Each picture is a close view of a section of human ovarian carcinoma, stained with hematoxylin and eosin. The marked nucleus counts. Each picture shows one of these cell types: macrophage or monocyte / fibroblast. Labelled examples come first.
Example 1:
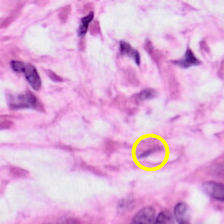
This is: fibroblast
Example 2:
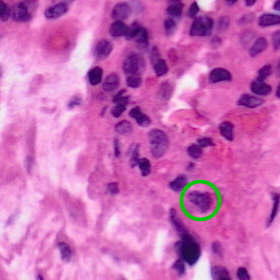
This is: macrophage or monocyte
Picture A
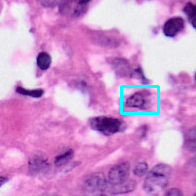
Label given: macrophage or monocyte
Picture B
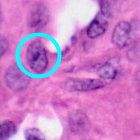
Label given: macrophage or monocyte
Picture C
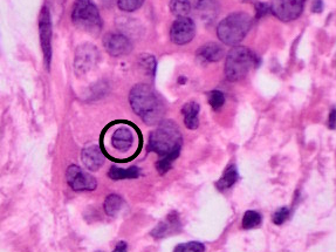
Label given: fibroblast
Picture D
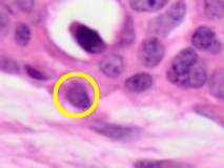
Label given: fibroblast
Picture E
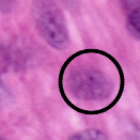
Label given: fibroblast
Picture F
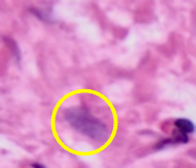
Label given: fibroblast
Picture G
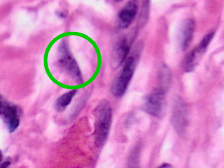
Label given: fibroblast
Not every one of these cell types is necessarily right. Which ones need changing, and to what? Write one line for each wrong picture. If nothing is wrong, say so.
Wrong: C (fibroblast); correct: macrophage or monocyte
Wrong: D (fibroblast); correct: macrophage or monocyte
